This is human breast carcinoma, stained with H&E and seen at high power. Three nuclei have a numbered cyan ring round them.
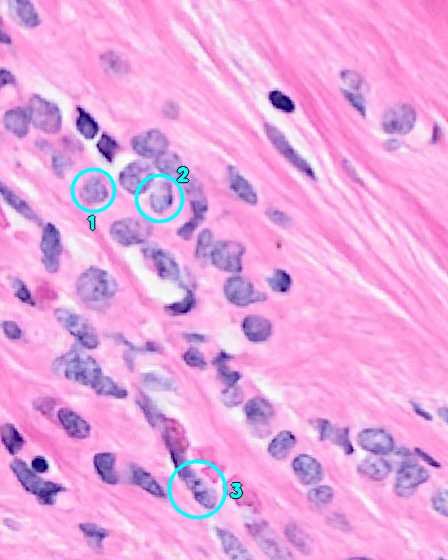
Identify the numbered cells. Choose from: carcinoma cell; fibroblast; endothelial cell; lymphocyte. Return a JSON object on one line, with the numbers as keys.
{"1": "carcinoma cell", "2": "carcinoma cell", "3": "endothelial cell"}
